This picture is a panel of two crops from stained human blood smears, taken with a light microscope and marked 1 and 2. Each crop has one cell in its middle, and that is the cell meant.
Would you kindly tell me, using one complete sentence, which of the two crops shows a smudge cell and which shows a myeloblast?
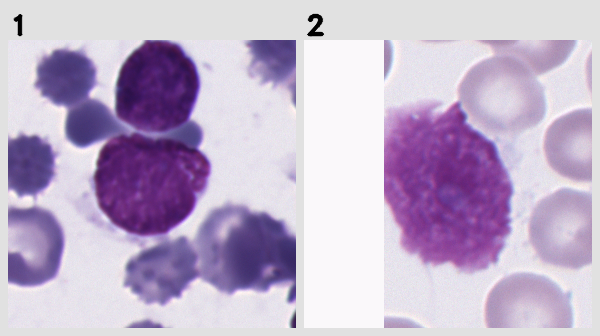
Crops 1 and 2 are, respectively, a myeloblast and a smudge cell.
